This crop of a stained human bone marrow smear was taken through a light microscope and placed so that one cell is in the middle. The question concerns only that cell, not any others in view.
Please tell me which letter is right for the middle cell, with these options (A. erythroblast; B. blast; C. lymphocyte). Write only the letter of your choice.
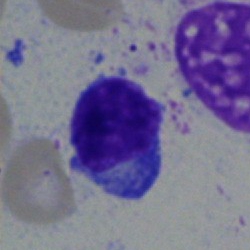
C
